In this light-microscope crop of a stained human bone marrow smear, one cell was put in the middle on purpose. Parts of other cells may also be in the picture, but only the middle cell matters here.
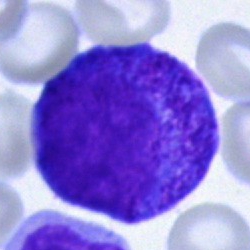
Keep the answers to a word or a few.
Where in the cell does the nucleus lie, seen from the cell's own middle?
left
